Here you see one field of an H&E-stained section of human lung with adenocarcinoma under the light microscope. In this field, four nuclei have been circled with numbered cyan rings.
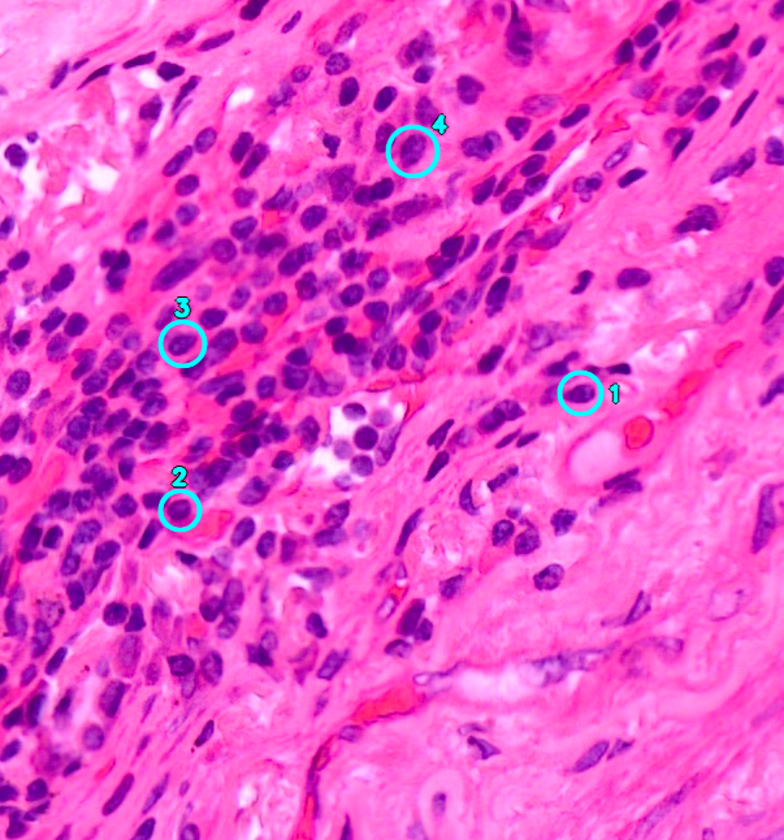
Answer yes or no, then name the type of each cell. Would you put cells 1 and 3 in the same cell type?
Yes, cell 1 is counted among the lymphocytes, as is cell 3.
